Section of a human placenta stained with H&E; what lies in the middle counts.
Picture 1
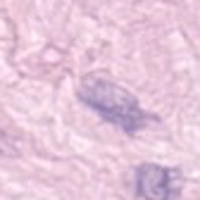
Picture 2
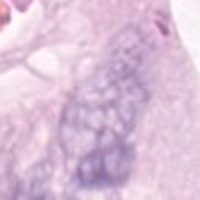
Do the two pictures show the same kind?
No: a vascular myocyte, then a cytotrophoblast.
